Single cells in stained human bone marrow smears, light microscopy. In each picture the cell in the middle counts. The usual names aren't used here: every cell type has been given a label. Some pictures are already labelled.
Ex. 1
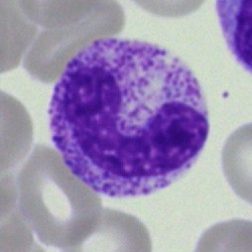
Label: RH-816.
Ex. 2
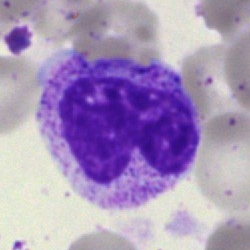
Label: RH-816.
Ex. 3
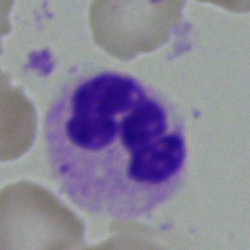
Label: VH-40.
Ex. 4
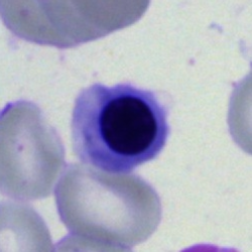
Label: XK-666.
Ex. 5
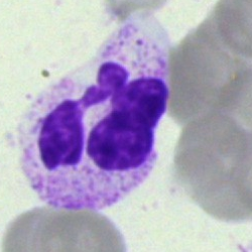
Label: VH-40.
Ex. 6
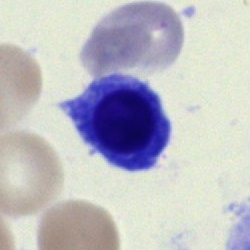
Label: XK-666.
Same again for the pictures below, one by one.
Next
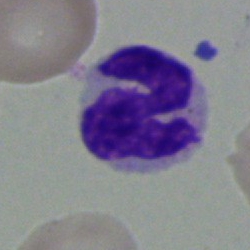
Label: VH-40.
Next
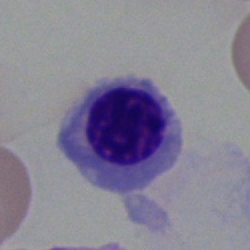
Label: XK-666.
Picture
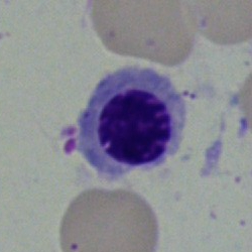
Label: XK-666.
